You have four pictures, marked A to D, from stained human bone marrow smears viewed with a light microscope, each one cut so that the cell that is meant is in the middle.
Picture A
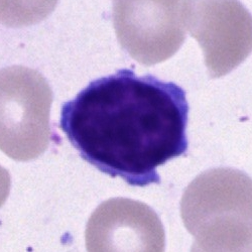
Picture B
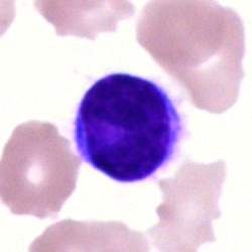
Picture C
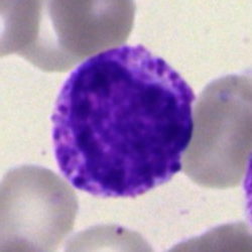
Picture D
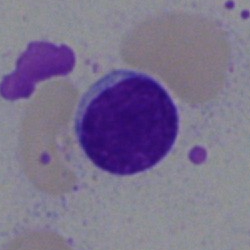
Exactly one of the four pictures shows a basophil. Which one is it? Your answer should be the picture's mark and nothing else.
C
